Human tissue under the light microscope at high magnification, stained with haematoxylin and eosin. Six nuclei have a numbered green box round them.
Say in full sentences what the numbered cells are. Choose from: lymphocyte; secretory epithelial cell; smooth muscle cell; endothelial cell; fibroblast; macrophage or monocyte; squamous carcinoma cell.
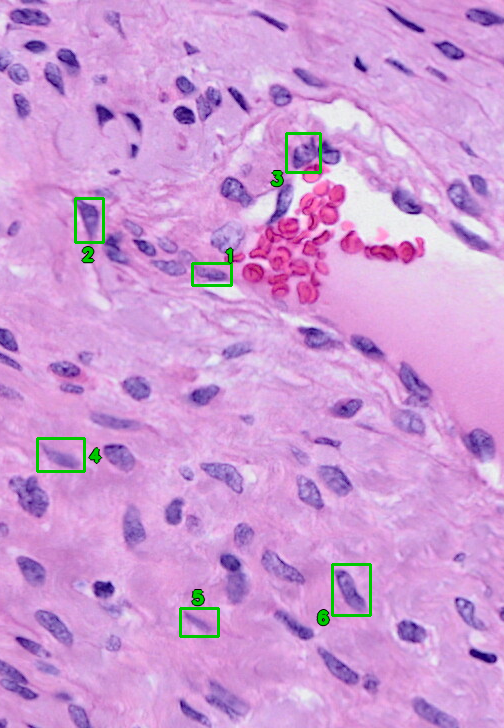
Cells 1 and 3 are endothelial cells. Cell 2 is a smooth muscle cell. Cells 4, 5 and 6 are fibroblasts.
